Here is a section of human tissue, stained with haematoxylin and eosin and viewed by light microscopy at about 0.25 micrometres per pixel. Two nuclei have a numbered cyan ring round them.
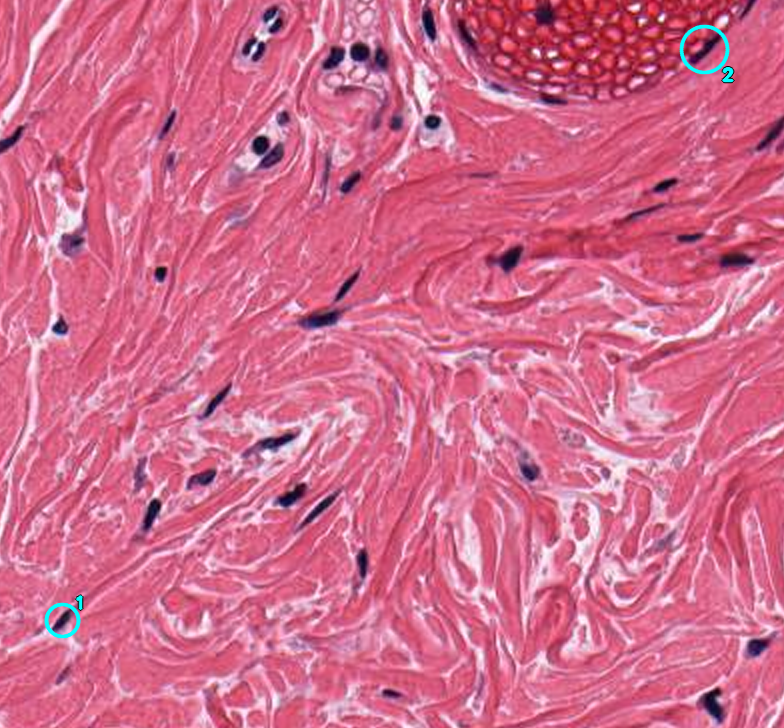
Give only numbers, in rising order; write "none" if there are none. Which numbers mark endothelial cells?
2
